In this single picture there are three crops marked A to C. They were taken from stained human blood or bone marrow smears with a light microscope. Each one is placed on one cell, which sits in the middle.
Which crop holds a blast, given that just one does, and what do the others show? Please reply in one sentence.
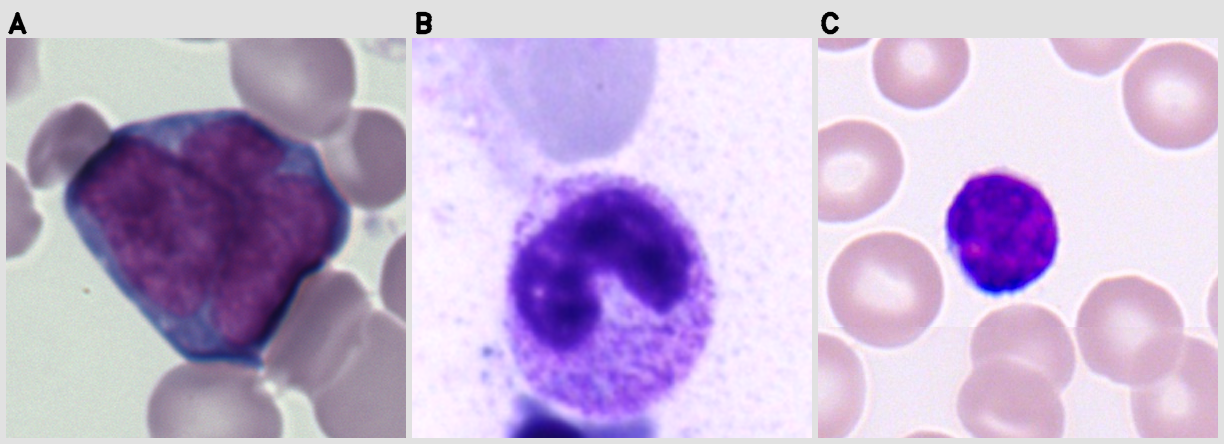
Crop A proves to be a blast, while crop B is a band neutrophil and crop C is a lymphocyte.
